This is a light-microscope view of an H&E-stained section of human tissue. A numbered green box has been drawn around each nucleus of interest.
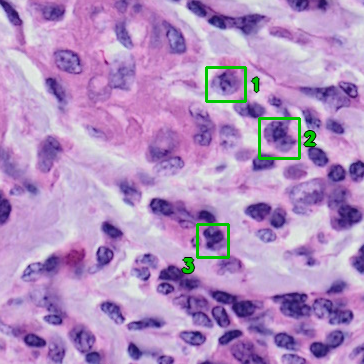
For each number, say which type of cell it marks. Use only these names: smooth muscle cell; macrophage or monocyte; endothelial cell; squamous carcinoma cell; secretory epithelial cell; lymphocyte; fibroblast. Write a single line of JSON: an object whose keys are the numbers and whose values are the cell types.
{"1": "macrophage or monocyte", "2": "lymphocyte", "3": "lymphocyte"}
